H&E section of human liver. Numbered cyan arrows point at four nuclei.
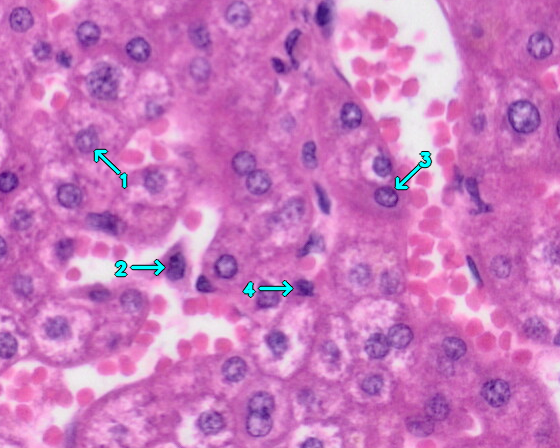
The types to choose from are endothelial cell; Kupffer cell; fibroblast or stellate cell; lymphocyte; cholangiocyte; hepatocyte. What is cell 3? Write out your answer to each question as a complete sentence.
To a hepatocyte belongs the nucleus marked 3.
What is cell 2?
The numbered cell 2 is identified here as a Kupffer cell.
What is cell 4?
The cell that bears the number 4 is a fibroblast or stellate cell.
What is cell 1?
The cell whose nucleus carries the number 1 is a hepatocyte.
